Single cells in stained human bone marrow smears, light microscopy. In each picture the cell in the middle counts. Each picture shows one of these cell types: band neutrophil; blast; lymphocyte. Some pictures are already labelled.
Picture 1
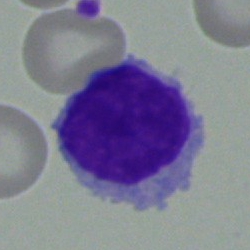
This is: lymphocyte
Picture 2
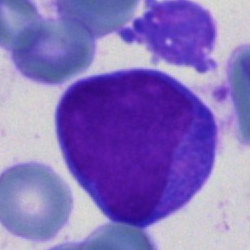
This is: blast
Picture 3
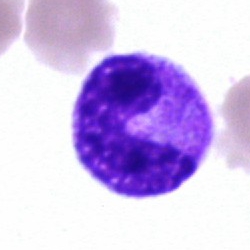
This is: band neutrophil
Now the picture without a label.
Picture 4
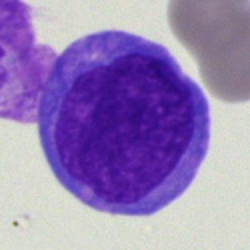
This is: blast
